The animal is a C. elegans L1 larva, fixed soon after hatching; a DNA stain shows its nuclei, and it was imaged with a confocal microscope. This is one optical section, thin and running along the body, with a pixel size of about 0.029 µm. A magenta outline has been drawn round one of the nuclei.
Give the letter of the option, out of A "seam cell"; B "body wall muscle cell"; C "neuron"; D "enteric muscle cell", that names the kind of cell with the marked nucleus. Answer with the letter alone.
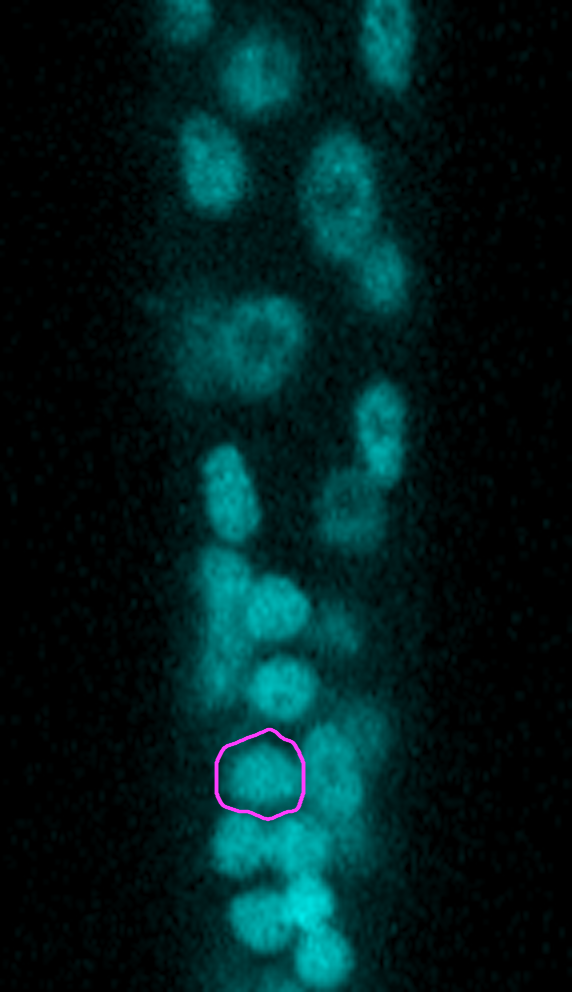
C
